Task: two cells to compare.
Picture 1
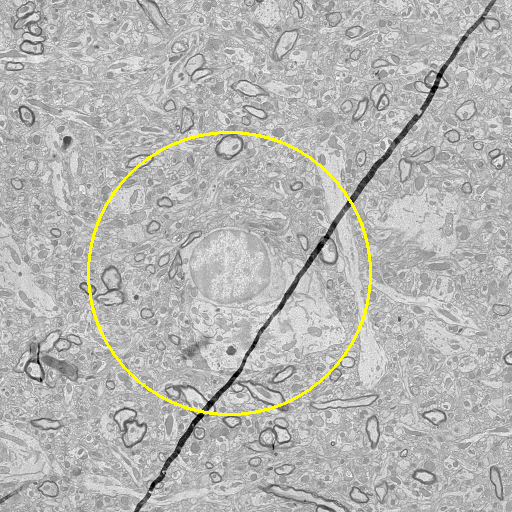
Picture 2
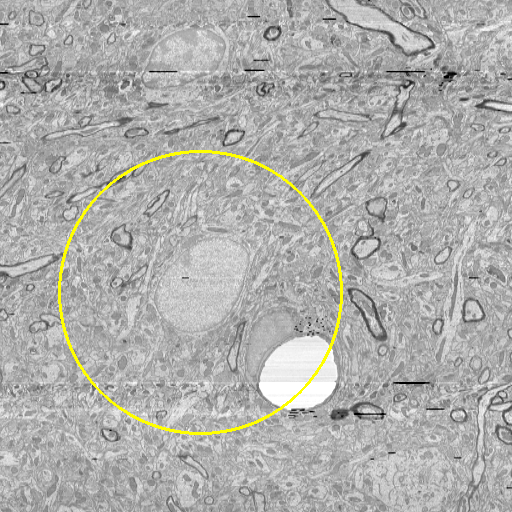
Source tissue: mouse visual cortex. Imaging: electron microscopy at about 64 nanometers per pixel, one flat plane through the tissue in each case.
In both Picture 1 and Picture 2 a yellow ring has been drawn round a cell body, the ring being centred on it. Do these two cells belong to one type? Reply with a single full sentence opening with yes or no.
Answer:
No, the two cells at the ring centres in Picture 1 and Picture 2 are of two types.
